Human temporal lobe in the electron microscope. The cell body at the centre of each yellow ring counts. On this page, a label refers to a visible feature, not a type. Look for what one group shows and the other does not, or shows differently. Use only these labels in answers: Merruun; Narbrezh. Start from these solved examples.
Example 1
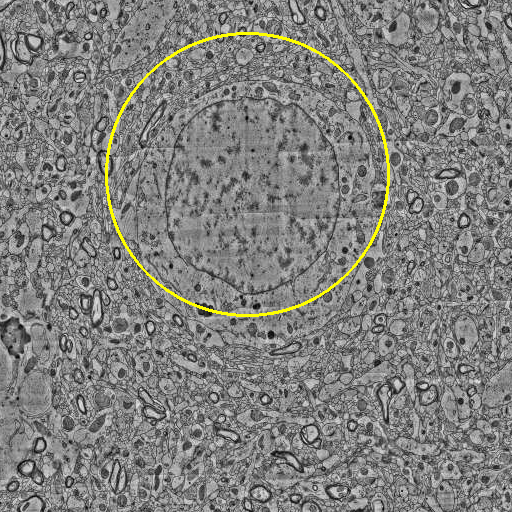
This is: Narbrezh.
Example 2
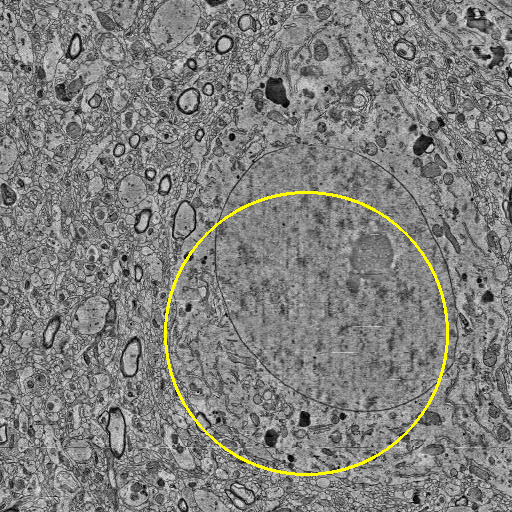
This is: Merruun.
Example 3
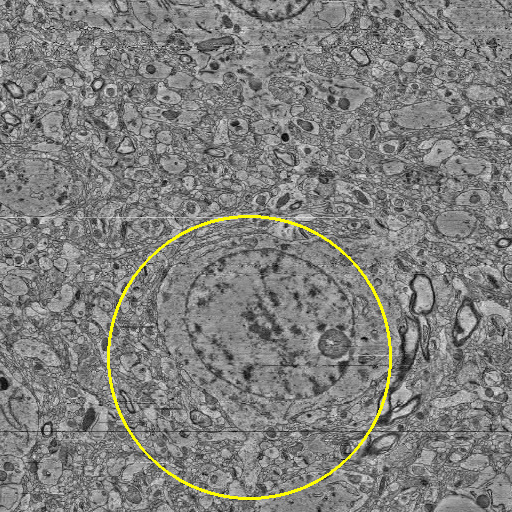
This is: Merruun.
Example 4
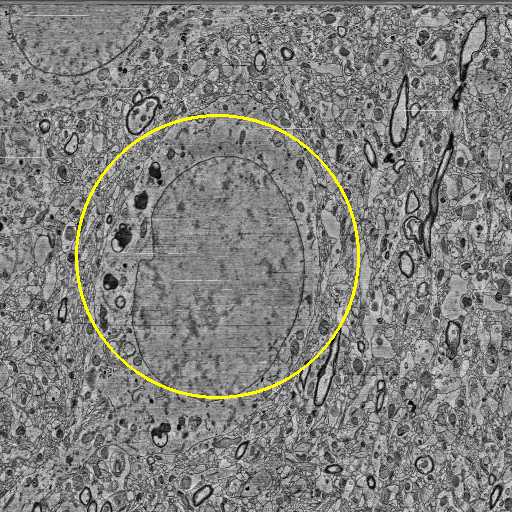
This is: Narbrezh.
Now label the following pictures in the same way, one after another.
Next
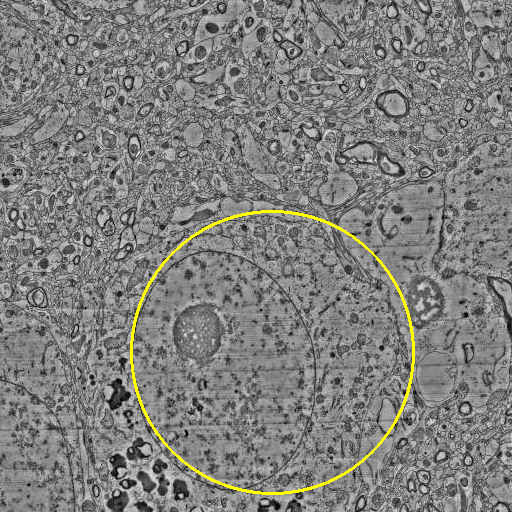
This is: Merruun.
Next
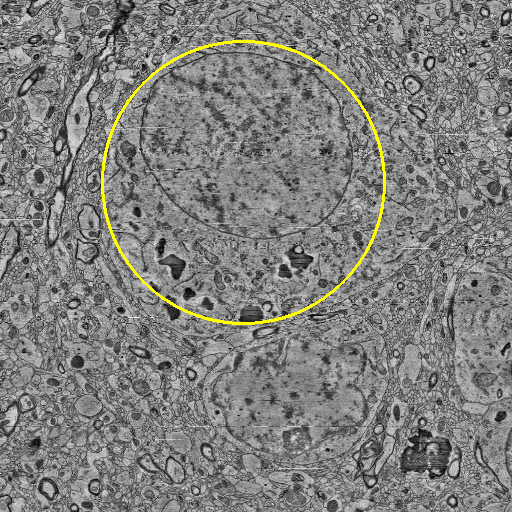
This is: Narbrezh.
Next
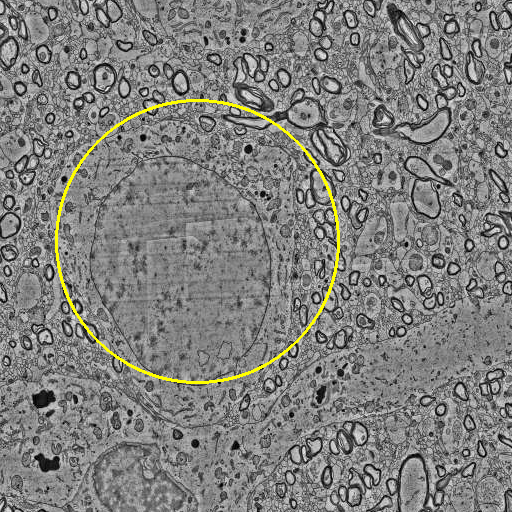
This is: Narbrezh.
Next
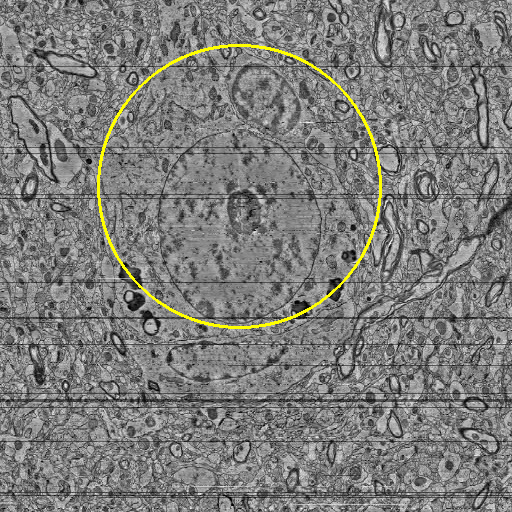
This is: Merruun.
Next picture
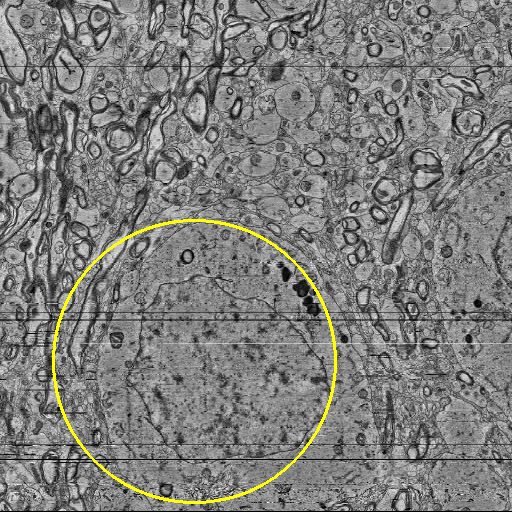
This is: Narbrezh.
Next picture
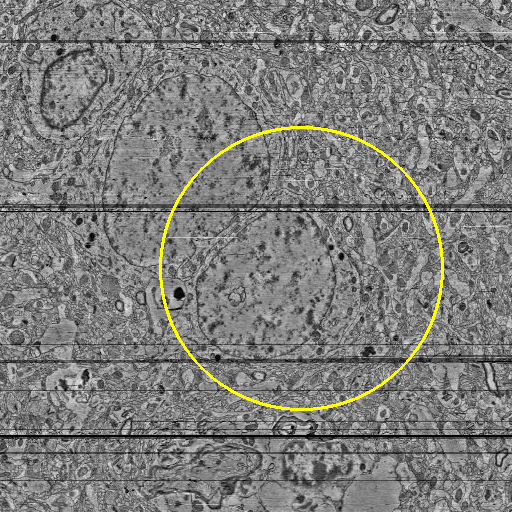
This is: Merruun.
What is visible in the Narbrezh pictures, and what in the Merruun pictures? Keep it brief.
In Narbrezh: no nucleolus seen. In Merruun: nucleolus seen.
